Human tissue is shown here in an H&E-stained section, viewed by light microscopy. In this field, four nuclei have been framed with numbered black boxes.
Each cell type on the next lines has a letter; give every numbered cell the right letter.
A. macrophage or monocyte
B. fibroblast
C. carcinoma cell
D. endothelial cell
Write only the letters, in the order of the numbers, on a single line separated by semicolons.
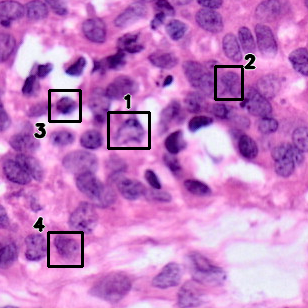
A; C; C; C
